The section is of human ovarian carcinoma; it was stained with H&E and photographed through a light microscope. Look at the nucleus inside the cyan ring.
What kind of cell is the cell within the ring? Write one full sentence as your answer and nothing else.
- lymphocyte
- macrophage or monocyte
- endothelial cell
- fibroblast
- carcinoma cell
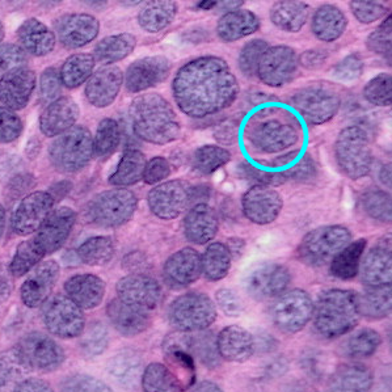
In terms of identity, the cell within the ring is a carcinoma cell.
